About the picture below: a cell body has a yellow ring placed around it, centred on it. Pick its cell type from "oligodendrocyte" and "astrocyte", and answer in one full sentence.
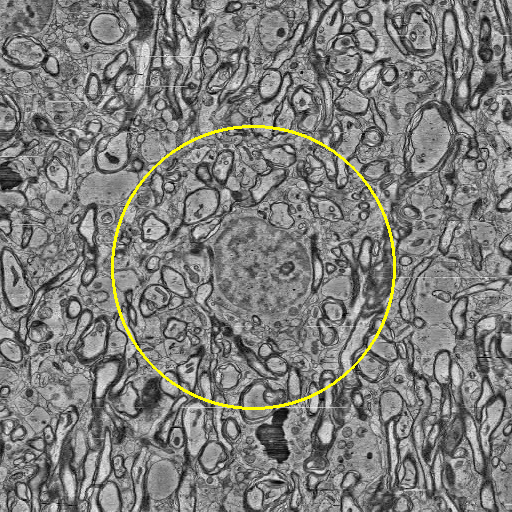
In the picture, an oligodendrocyte is the cell sitting at the centre of the yellow ring.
